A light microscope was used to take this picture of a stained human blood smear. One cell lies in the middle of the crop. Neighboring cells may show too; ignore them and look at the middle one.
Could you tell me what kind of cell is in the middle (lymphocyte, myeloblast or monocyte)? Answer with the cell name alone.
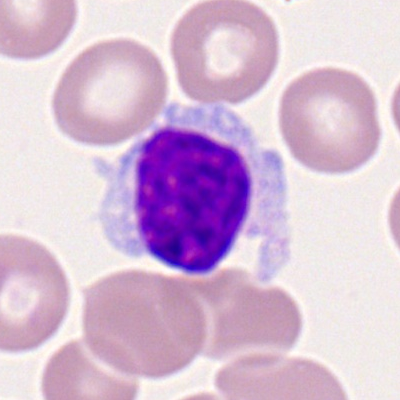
lymphocyte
